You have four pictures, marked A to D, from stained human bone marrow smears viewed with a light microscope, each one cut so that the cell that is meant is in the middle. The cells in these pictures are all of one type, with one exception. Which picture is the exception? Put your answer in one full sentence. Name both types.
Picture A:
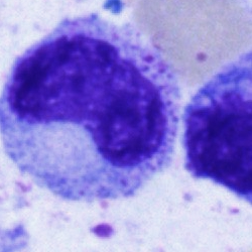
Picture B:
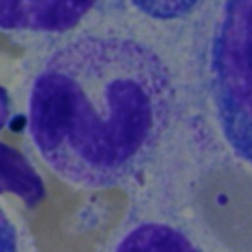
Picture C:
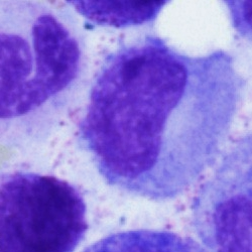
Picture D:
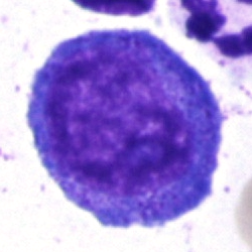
All pictures except D show metamyelocytes; picture D shows a proerythroblast.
